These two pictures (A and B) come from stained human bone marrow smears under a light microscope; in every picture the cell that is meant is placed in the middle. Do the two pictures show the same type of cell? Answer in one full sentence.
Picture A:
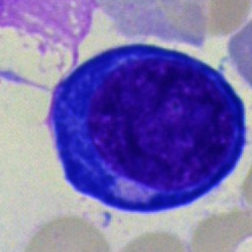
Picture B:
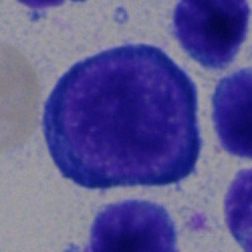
Yes, both cells are proerythroblasts.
